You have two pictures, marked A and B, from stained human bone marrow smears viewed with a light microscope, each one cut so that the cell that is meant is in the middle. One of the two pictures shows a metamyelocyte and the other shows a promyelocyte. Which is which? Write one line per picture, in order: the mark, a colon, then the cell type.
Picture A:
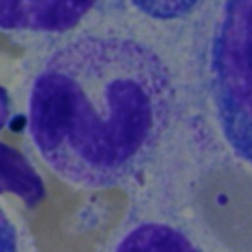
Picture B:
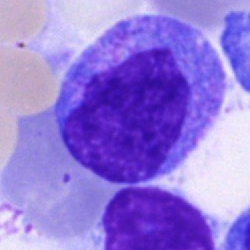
A: metamyelocyte
B: promyelocyte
